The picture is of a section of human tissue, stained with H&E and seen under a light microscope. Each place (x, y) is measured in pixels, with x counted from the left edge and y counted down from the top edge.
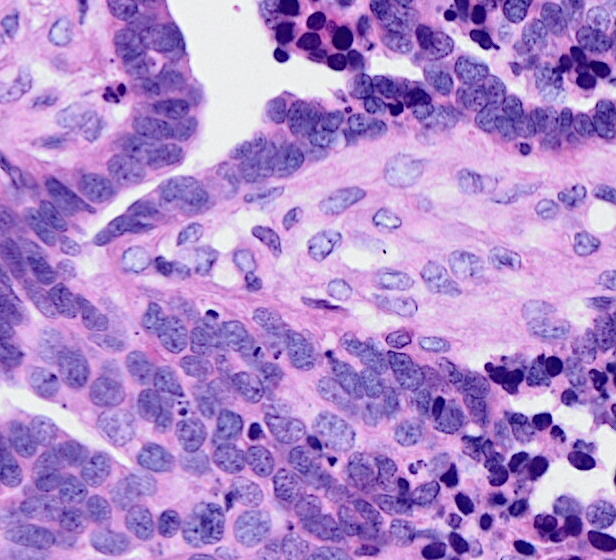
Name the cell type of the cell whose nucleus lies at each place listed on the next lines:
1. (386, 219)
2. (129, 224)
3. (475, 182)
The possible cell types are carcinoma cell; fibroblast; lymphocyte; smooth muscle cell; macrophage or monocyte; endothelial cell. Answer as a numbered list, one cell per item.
1. fibroblast
2. carcinoma cell
3. fibroblast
